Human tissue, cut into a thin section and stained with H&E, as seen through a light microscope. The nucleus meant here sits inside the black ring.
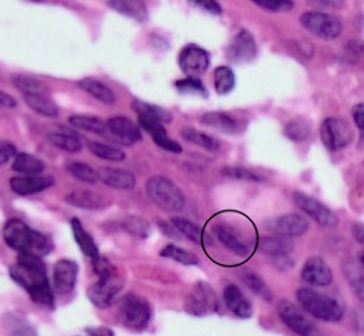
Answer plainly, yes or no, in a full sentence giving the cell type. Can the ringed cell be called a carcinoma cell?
Yes, the statement that the ringed cell is a carcinoma cell is correct.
